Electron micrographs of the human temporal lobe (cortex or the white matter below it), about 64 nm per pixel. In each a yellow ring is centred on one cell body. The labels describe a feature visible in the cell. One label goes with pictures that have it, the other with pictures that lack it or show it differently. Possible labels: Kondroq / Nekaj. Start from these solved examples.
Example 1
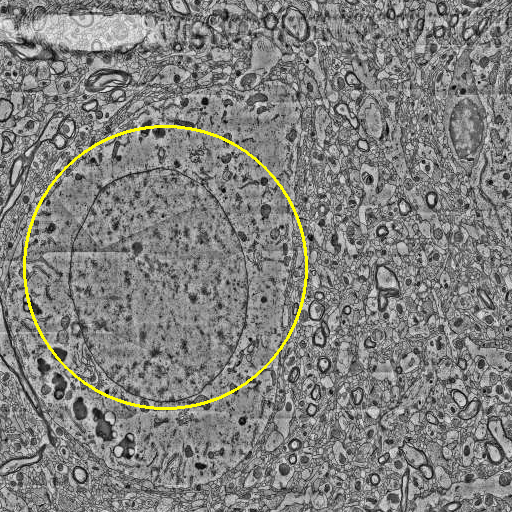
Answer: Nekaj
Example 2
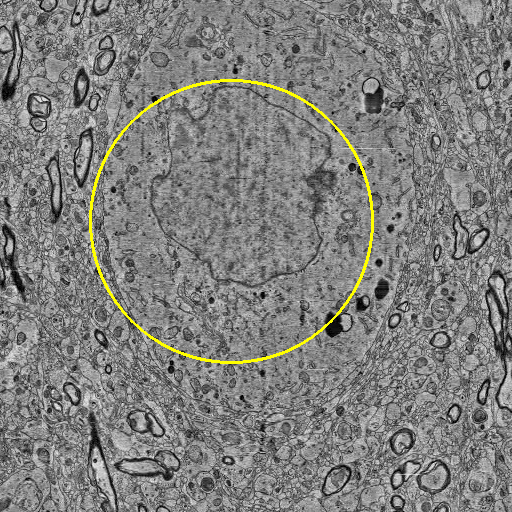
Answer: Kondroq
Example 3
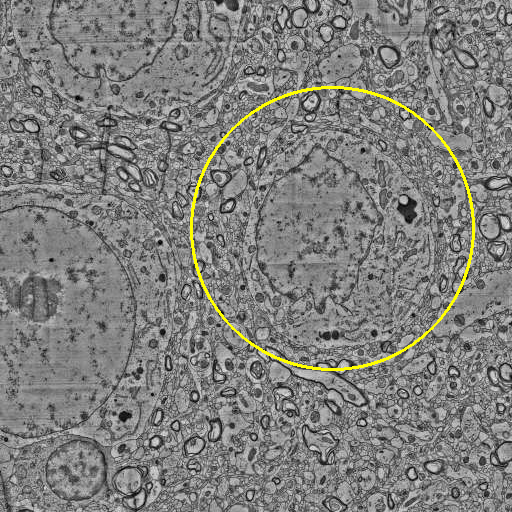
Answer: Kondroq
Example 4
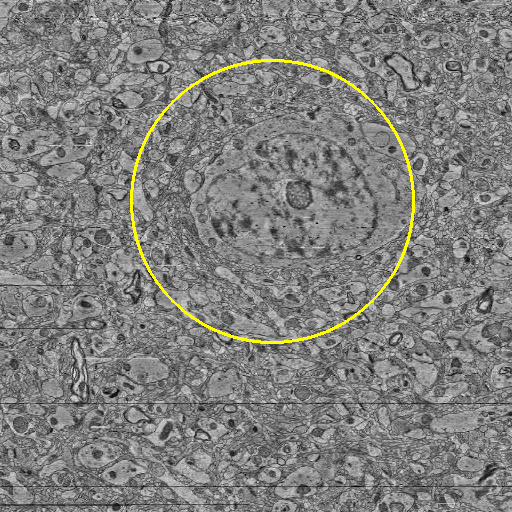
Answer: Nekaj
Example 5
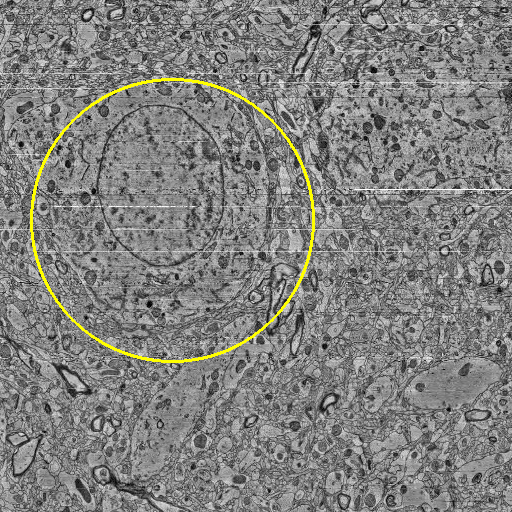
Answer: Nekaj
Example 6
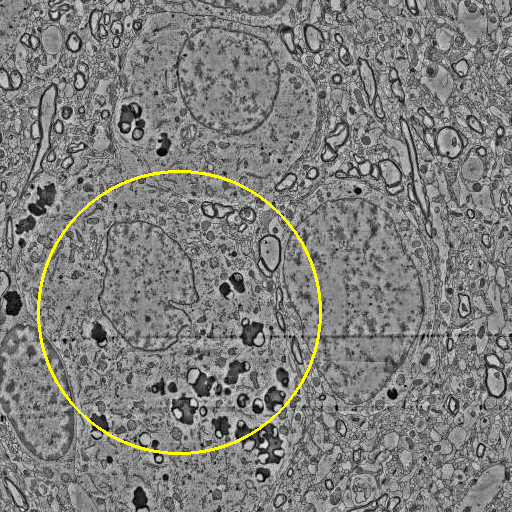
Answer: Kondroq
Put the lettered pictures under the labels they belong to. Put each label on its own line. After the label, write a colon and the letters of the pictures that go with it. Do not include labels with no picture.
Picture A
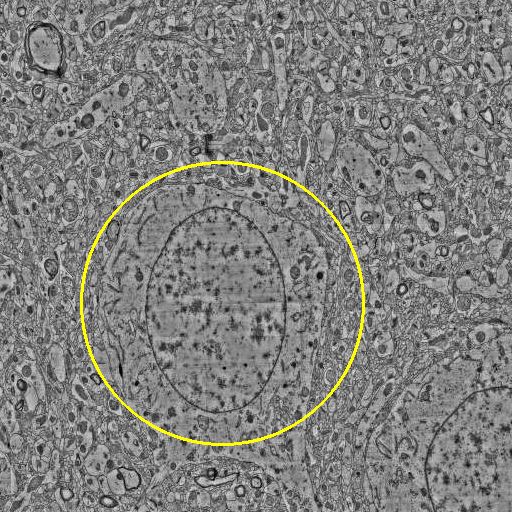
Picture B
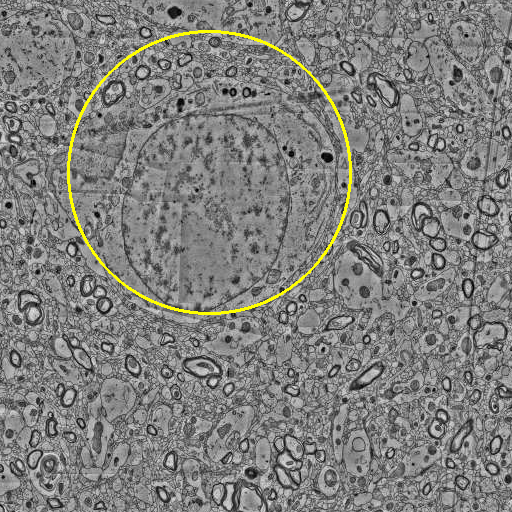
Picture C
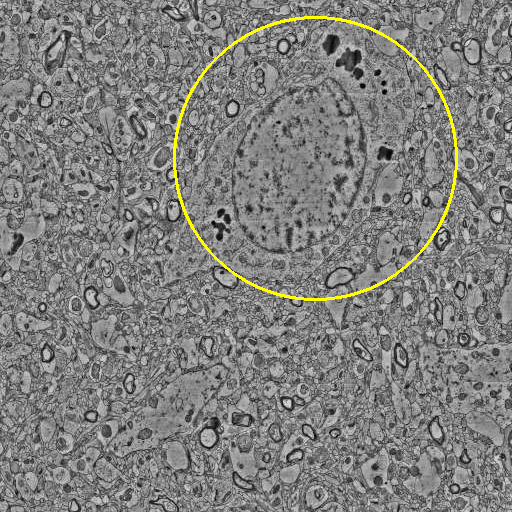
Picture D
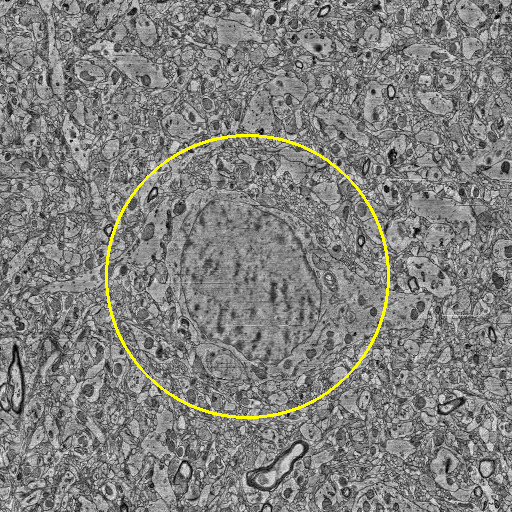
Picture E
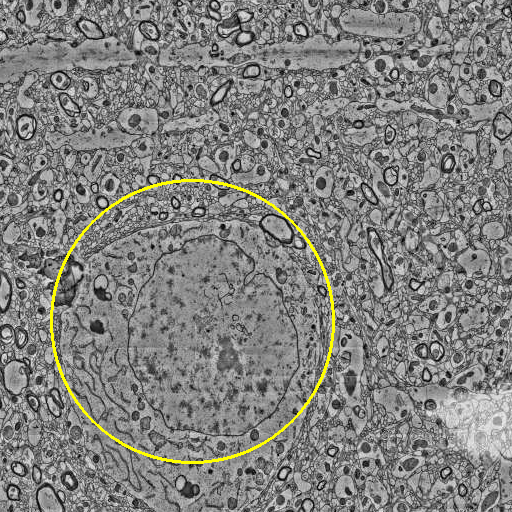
Kondroq: E
Nekaj: A, B, C, D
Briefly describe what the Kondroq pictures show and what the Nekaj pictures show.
Kondroq, deeply folded or indented nuclear envelopes; Nekaj, smooth nuclear envelopes without deep folds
